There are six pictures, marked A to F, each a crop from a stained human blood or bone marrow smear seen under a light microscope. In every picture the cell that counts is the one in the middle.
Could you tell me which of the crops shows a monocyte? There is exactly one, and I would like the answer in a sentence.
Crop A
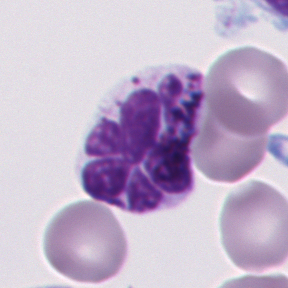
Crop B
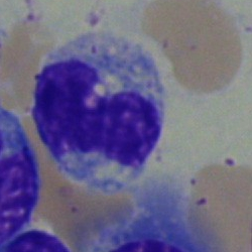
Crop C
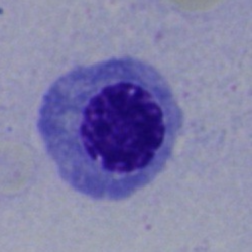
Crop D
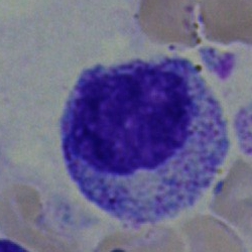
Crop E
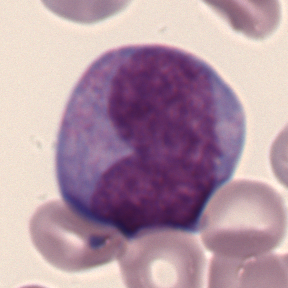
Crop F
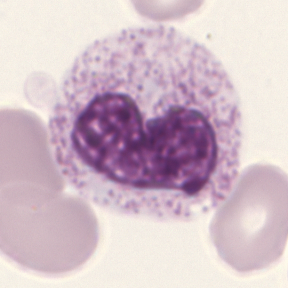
It is in crop B, among all the crops, that a monocyte is present.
